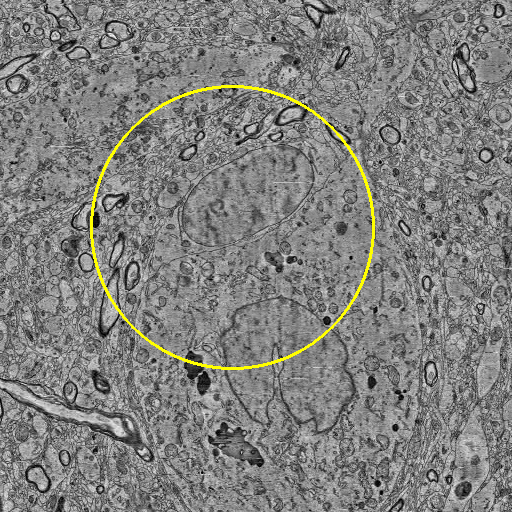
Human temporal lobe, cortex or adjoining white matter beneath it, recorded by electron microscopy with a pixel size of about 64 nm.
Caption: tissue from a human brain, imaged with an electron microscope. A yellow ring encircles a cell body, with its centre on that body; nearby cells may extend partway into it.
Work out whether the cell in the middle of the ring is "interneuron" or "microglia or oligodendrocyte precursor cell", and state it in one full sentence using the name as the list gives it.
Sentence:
In the picture, the cell that the yellow ring surrounds at its centre is a microglial cell or oligodendrocyte precursor cell.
